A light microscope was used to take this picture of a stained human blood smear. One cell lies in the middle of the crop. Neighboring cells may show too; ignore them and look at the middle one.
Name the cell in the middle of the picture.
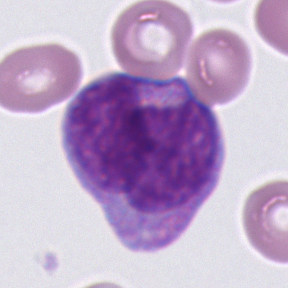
atypical promyelocyte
